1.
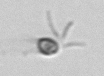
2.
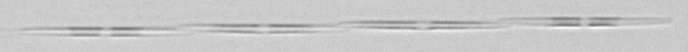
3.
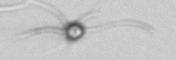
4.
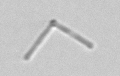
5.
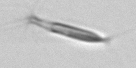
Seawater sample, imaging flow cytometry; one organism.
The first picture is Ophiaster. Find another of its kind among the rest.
Picture 3.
